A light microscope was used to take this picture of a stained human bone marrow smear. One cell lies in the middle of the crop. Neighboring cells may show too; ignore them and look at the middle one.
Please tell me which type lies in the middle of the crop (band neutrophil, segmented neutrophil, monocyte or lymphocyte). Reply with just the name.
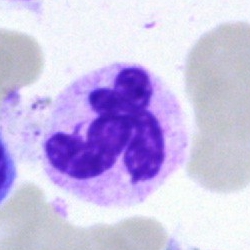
segmented neutrophil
